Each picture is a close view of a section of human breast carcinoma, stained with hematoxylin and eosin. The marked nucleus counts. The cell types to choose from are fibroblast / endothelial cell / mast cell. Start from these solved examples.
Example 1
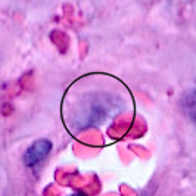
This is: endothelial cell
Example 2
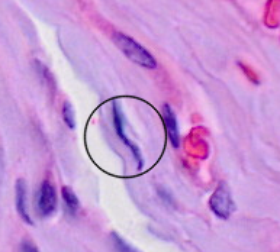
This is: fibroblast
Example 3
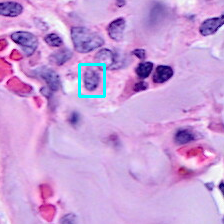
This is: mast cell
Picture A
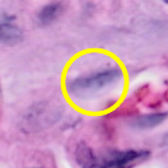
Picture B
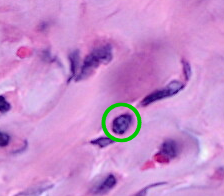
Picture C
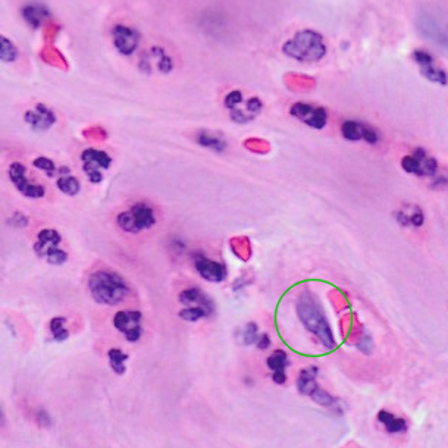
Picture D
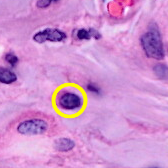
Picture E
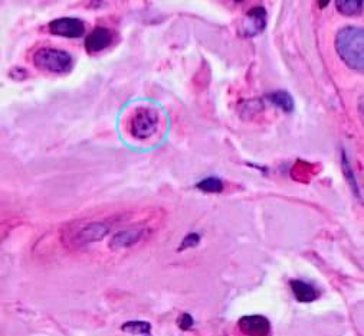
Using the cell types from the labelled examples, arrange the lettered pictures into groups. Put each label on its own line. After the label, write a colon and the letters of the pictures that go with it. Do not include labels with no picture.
endothelial cell: A, C
mast cell: B, D, E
